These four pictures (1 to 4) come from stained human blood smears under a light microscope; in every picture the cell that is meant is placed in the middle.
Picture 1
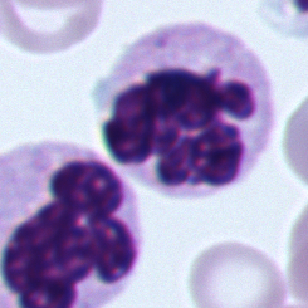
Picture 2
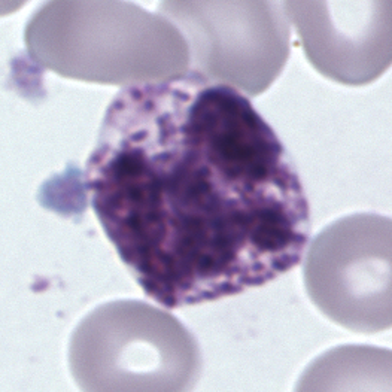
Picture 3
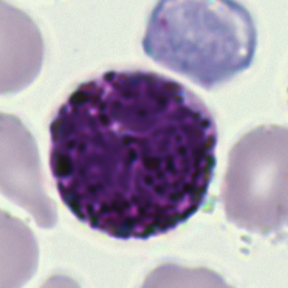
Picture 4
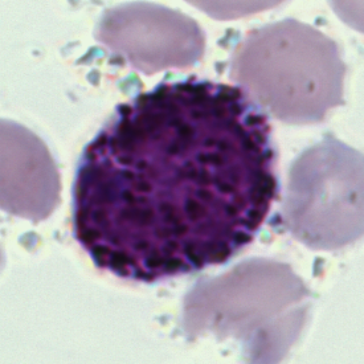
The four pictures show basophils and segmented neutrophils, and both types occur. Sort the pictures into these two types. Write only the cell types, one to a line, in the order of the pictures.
segmented neutrophil
basophil
basophil
basophil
